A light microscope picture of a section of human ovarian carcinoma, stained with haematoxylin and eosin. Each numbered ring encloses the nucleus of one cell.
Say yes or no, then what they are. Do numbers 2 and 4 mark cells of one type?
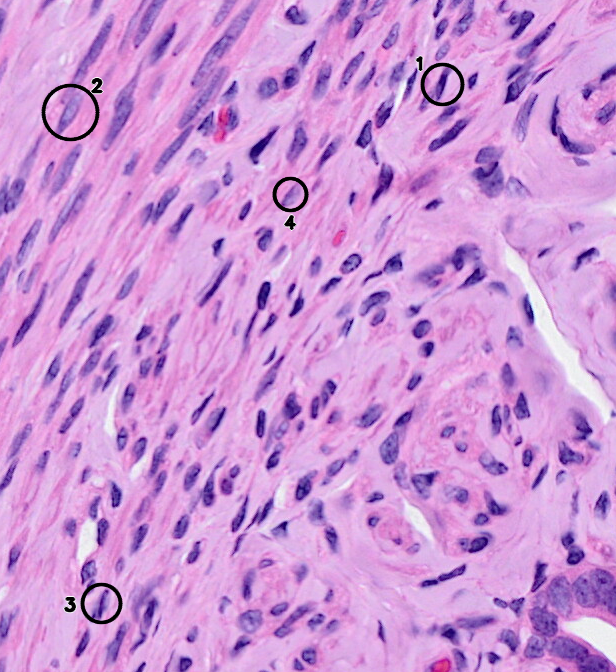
Yes, in this section cells 2 and 4 are both smooth muscle cells.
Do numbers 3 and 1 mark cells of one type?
No, here cell 3 is a fibroblast, whereas cell 1 is a smooth muscle cell.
